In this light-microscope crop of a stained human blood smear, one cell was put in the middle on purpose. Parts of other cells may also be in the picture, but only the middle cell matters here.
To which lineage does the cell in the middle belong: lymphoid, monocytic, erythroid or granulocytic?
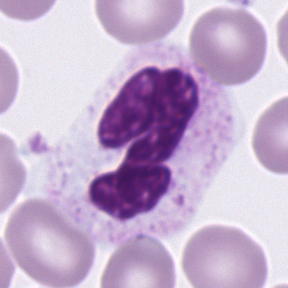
granulocytic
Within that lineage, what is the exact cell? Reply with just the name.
segmented neutrophil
